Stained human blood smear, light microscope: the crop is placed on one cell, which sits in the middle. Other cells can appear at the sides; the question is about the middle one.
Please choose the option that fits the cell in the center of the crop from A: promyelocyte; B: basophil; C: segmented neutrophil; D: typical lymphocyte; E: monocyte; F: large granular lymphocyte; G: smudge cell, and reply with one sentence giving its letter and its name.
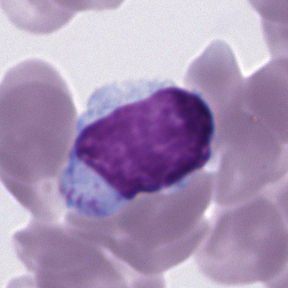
Option F is accurate; the centrally placed cell is a large granular lymphocyte.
